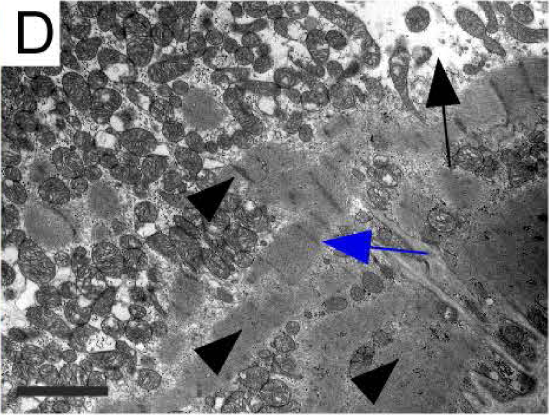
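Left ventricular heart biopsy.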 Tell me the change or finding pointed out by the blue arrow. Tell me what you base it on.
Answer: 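The arrow points at striated myofibrils running at irregular angles. Myofibril bundles are not in parallel register. The answer: sarcomeric disarray.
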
